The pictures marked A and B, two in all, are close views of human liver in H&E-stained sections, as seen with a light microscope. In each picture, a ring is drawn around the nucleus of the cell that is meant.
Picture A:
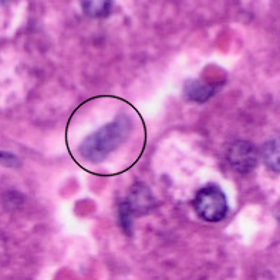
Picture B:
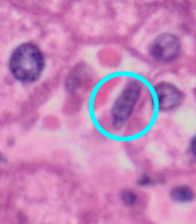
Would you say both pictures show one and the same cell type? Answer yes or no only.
yes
